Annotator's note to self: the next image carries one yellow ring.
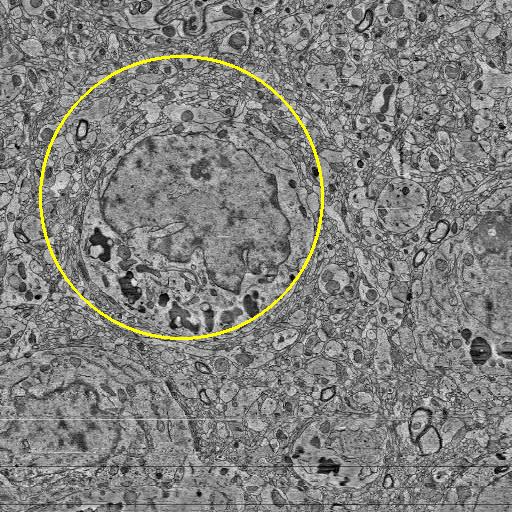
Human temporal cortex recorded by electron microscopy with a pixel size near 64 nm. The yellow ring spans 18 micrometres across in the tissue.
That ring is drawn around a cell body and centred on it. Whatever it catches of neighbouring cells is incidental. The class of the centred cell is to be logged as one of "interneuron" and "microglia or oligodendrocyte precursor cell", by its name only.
interneuron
